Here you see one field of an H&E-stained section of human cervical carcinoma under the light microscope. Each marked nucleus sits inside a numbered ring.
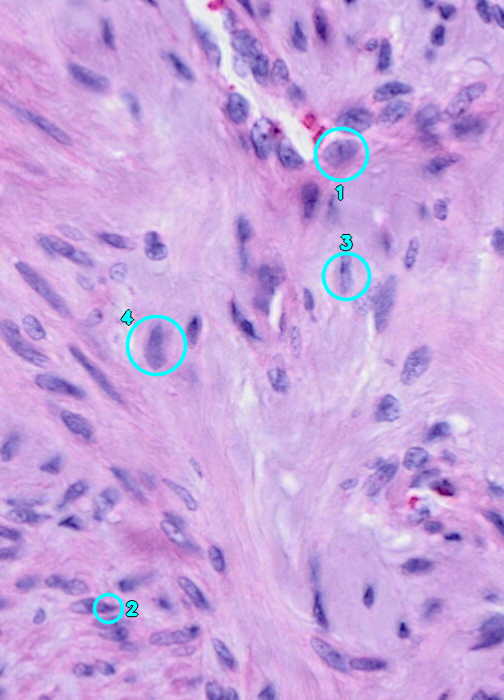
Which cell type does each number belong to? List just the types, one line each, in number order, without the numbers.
endothelial cell
smooth muscle cell
fibroblast
fibroblast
